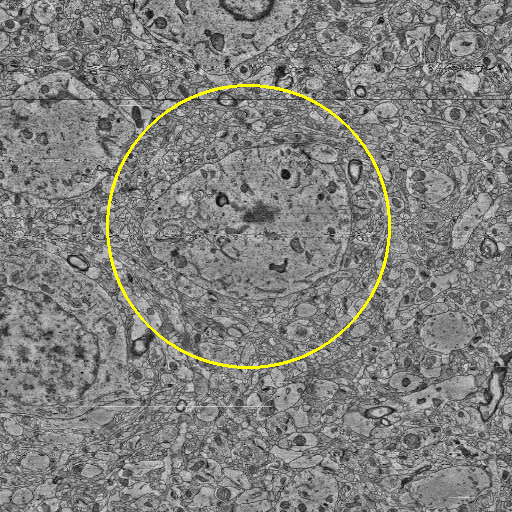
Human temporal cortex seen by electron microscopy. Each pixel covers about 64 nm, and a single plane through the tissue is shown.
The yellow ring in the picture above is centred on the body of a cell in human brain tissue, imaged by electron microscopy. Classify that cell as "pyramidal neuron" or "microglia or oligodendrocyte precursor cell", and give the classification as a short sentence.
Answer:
The cell in the middle of the ring is a pyramidal neuron.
